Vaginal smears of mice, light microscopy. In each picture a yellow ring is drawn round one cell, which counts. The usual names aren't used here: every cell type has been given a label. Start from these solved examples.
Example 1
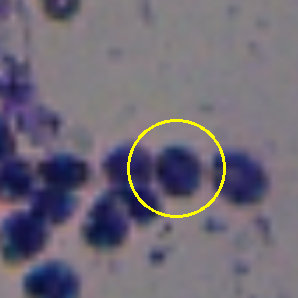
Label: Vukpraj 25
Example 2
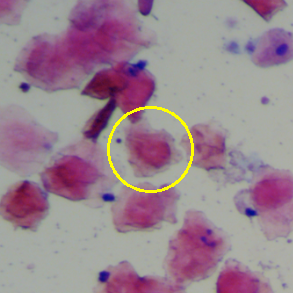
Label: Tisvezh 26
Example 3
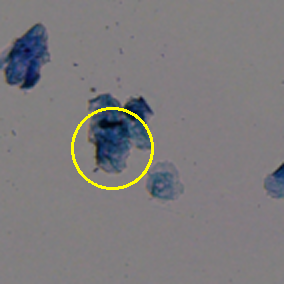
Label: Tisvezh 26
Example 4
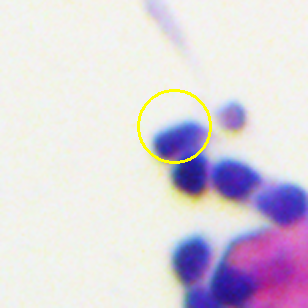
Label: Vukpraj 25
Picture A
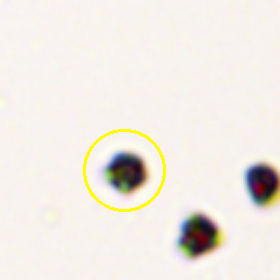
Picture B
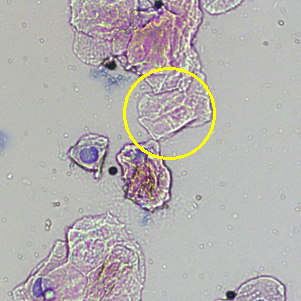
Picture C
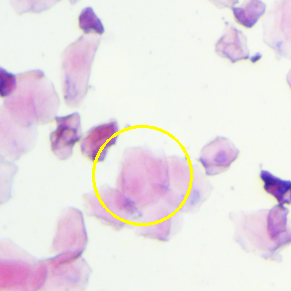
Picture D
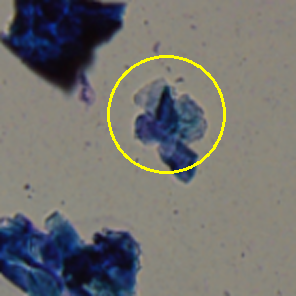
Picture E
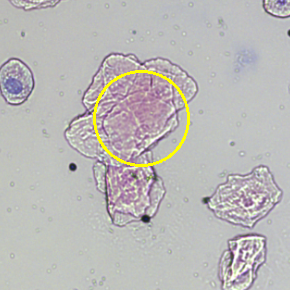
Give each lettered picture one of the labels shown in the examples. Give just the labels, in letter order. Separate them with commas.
Vukpraj 25, Tisvezh 26, Tisvezh 26, Tisvezh 26, Tisvezh 26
